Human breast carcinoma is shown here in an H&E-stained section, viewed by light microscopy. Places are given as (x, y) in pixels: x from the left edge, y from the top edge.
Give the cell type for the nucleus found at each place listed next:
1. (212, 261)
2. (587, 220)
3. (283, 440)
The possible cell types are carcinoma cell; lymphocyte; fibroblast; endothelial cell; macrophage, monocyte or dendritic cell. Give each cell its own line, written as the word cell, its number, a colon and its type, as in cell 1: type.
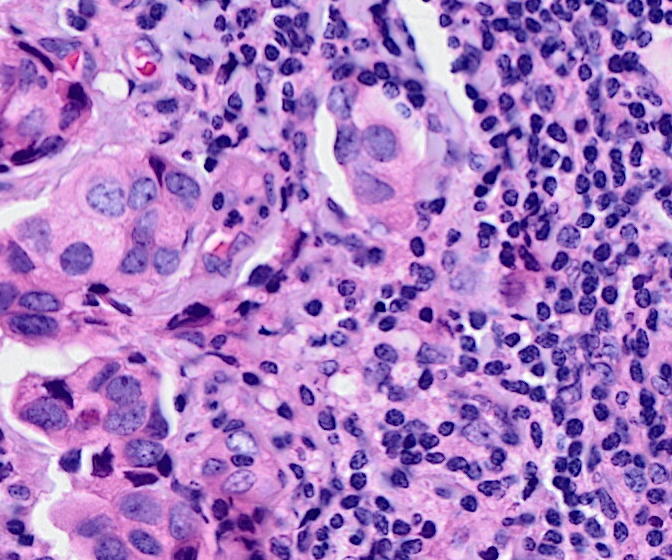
cell 1: endothelial cell
cell 2: lymphocyte
cell 3: lymphocyte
